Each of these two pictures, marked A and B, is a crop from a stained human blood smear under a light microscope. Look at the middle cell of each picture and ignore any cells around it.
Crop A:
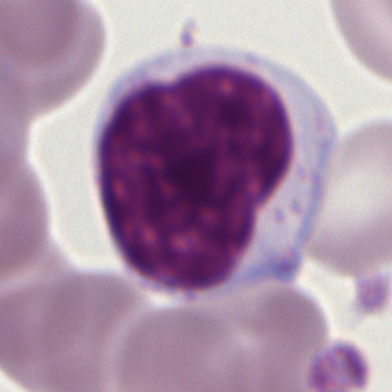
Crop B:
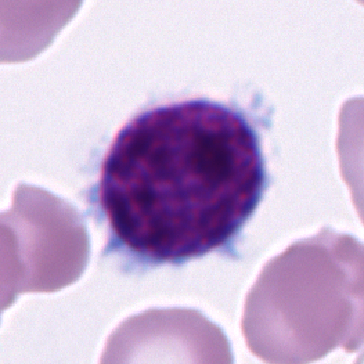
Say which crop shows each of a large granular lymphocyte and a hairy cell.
A: large granular lymphocyte
B: hairy cell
